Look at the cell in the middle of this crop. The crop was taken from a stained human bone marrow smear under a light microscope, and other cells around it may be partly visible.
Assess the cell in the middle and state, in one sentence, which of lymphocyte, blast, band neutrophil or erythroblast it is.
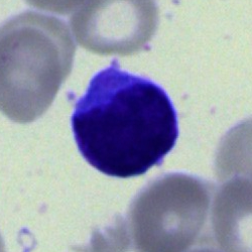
Seen at the centre of the crop is a blast.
